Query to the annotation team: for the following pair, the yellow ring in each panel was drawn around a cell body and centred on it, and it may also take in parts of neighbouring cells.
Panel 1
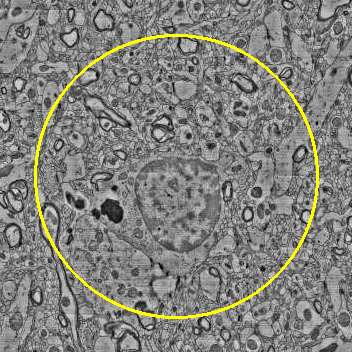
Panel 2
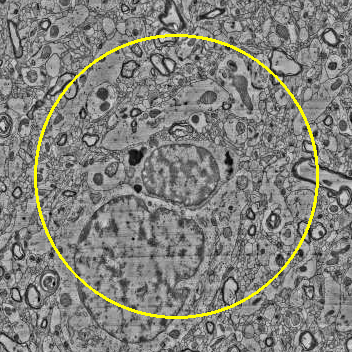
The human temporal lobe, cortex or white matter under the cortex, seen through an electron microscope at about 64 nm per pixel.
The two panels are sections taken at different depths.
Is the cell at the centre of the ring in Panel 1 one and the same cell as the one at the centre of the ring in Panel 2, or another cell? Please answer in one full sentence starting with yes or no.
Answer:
Yes, the two rings belong to one cell, not to two.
